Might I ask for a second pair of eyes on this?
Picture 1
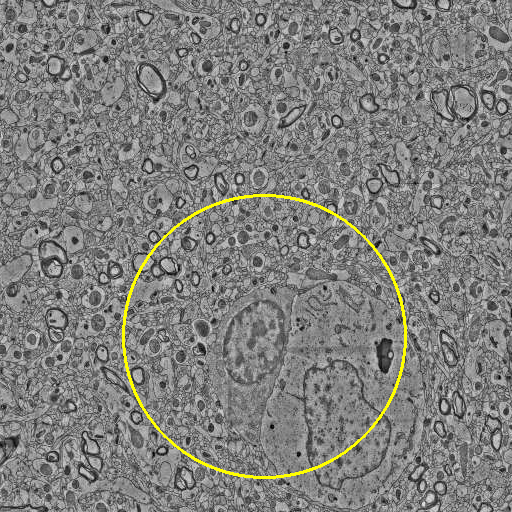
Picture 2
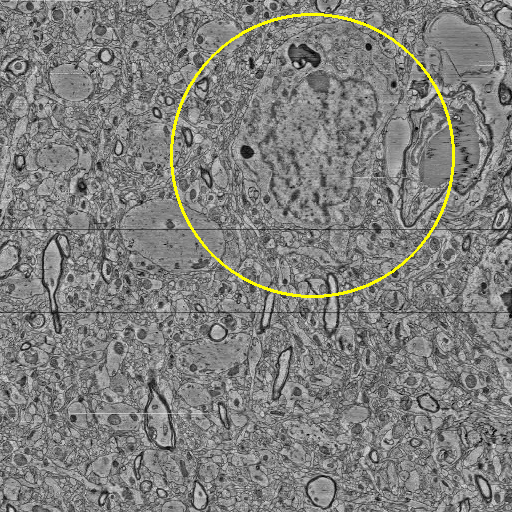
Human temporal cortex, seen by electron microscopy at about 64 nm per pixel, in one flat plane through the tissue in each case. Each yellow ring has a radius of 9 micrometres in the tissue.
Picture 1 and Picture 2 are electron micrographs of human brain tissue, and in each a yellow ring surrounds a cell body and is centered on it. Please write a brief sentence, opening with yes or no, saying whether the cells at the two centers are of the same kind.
No, the cells are of two kinds.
